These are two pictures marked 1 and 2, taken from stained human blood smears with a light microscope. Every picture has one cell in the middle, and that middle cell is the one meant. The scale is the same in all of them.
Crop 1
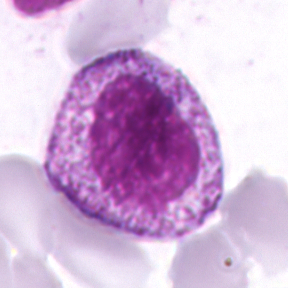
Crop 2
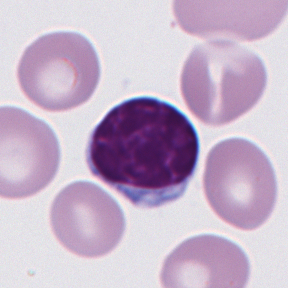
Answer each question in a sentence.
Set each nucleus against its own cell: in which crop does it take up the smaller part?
The nucleus fills less of the cell in crop 1 than in crop 2.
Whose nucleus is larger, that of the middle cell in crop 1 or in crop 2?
It is the nucleus in crop 1, about 1.5 times as large in area as the one in crop 2.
